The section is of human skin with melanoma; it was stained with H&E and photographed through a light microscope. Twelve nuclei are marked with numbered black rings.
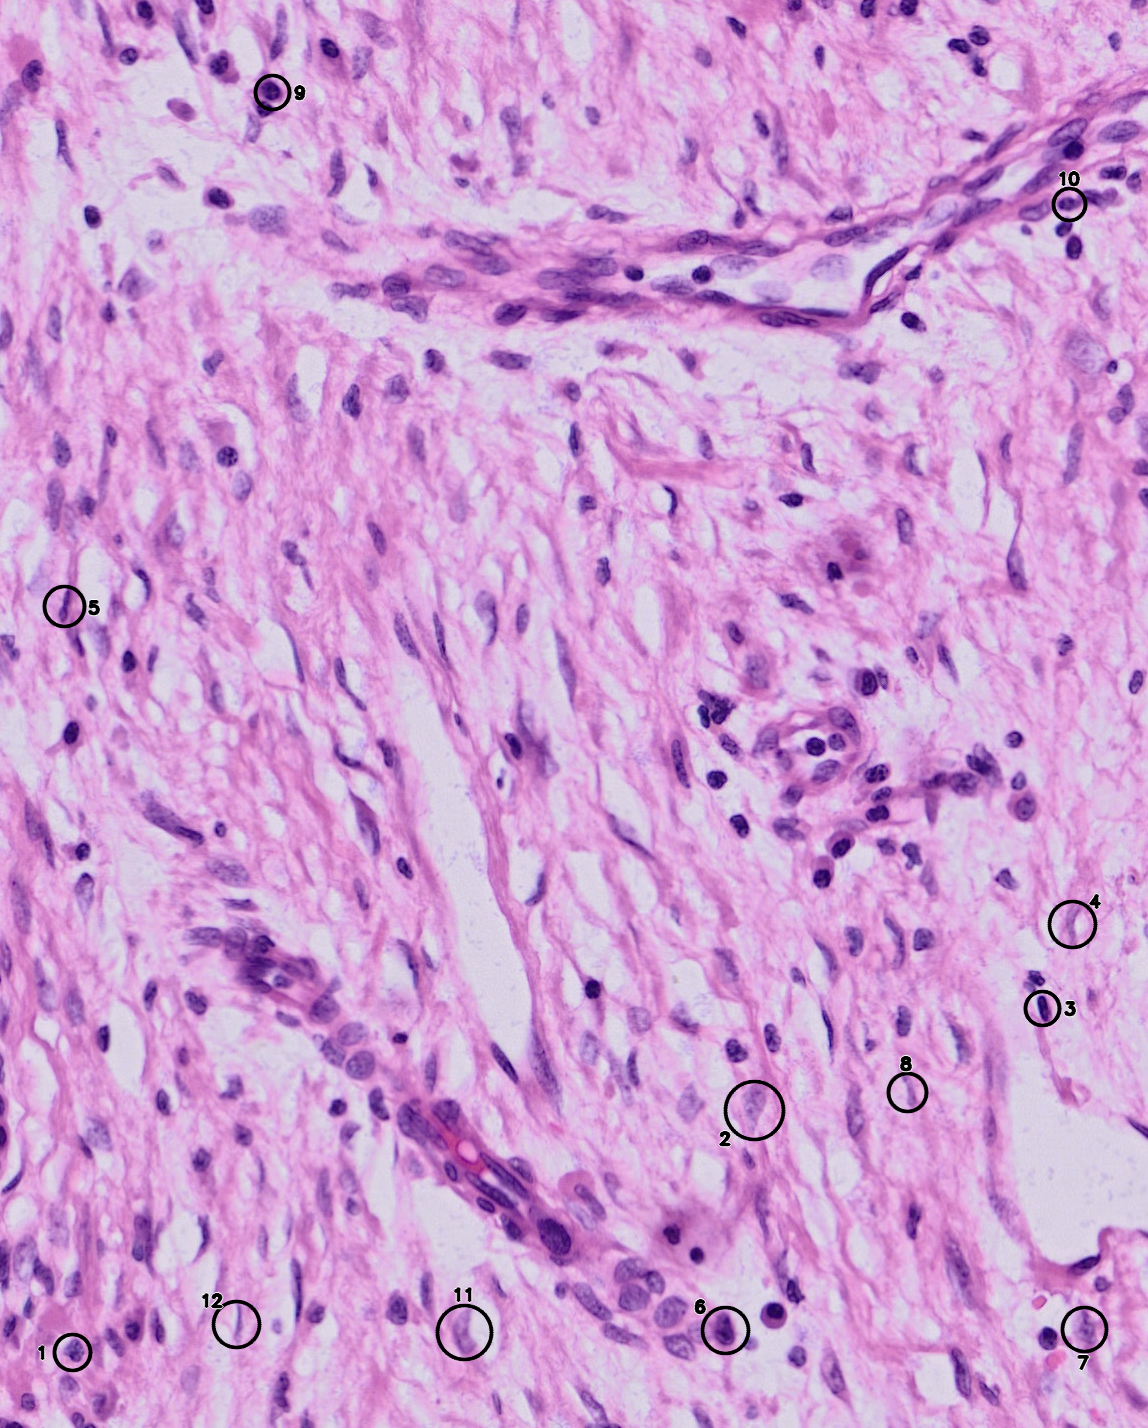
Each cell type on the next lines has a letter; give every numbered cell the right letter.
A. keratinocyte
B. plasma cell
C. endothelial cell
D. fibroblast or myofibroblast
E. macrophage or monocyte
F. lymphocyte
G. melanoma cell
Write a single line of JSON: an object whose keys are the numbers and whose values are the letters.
{"1": "F", "2": "D", "3": "F", "4": "D", "5": "D", "6": "E", "7": "D", "8": "D", "9": "B", "10": "F", "11": "D", "12": "D"}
